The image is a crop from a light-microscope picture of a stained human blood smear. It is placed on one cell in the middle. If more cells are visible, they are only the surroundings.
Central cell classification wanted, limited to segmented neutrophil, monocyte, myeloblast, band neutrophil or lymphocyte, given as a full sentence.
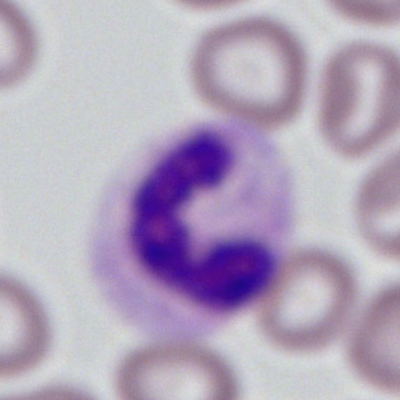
The cell found in the middle of this crop is a band neutrophil.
